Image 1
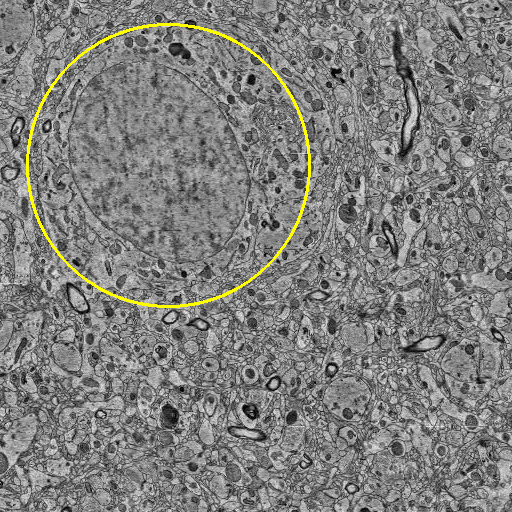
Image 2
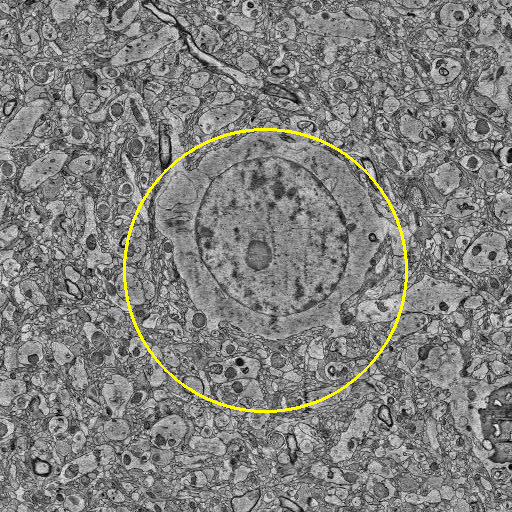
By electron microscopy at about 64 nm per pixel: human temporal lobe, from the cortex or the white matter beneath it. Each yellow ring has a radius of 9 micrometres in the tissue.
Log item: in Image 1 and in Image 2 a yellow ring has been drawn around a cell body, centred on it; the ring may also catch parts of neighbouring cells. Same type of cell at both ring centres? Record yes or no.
no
